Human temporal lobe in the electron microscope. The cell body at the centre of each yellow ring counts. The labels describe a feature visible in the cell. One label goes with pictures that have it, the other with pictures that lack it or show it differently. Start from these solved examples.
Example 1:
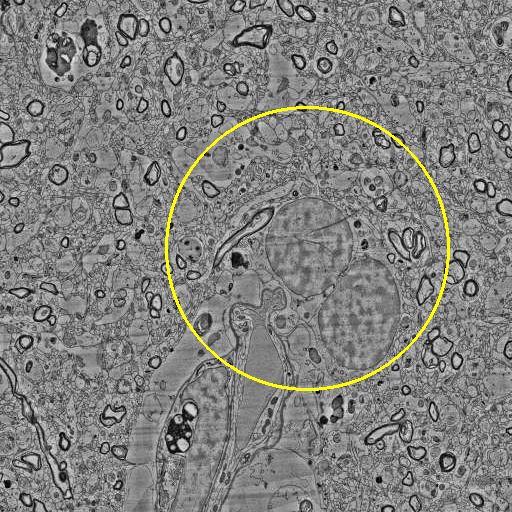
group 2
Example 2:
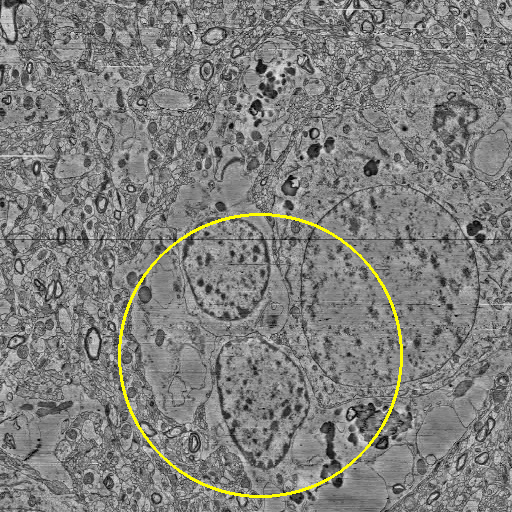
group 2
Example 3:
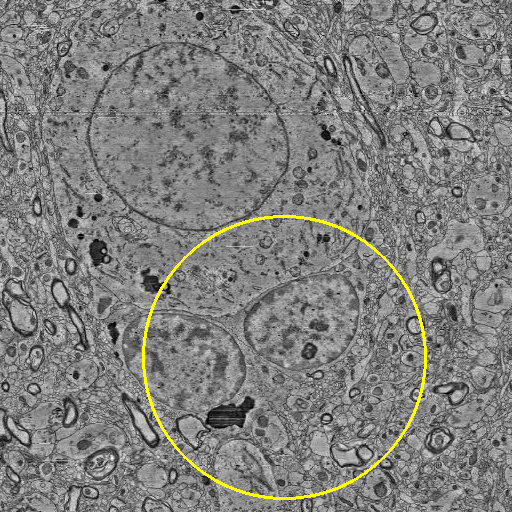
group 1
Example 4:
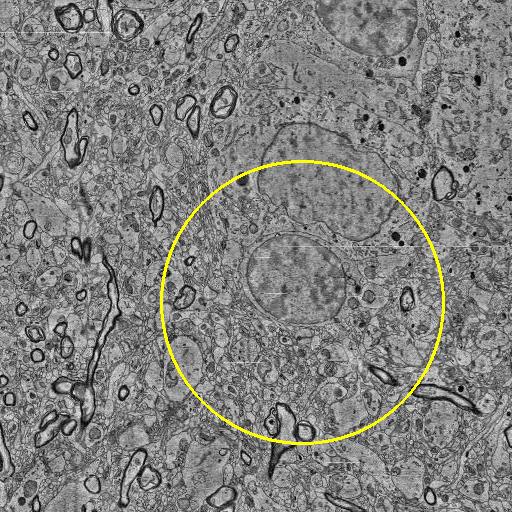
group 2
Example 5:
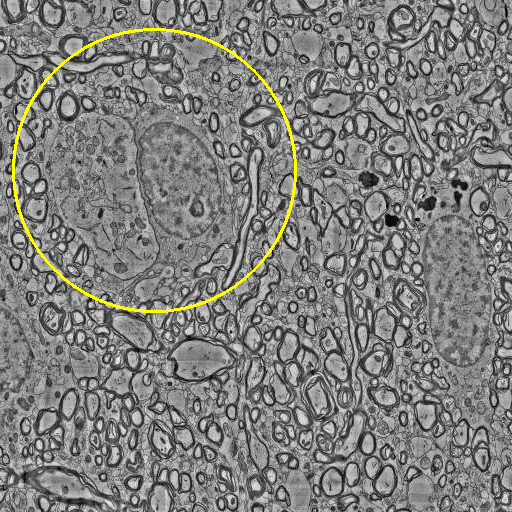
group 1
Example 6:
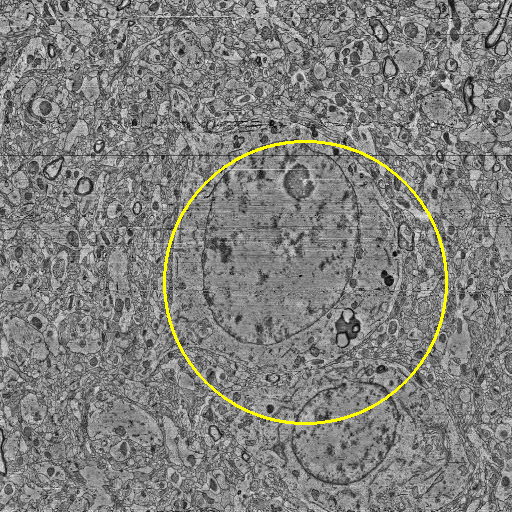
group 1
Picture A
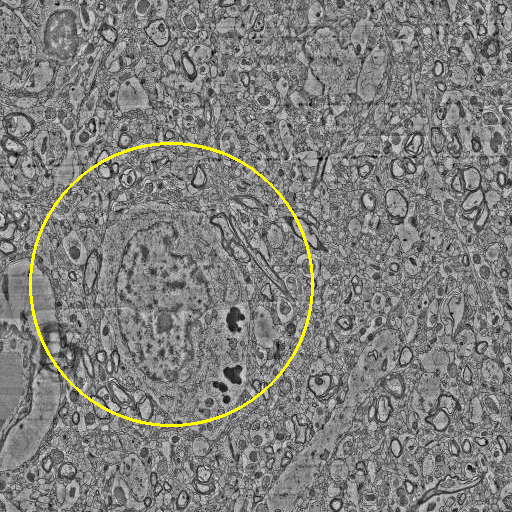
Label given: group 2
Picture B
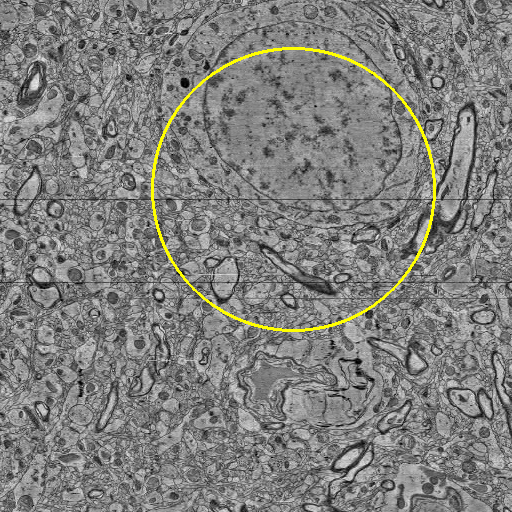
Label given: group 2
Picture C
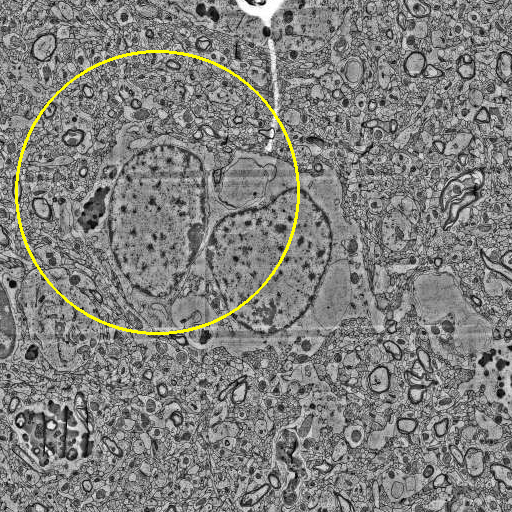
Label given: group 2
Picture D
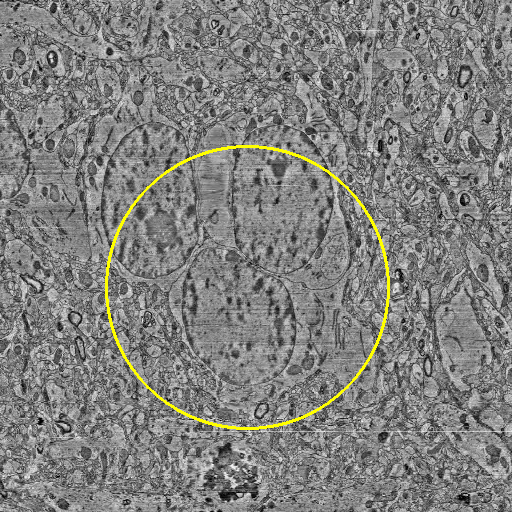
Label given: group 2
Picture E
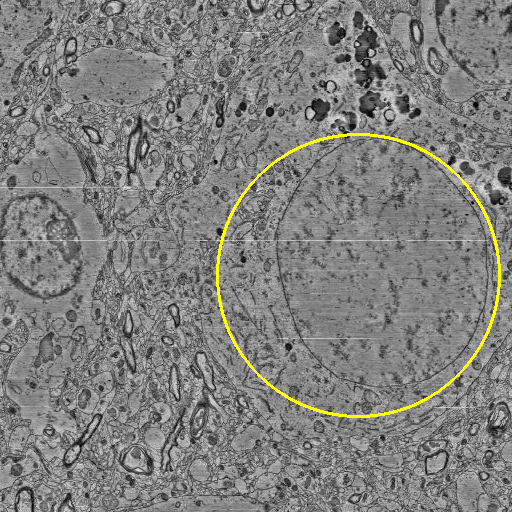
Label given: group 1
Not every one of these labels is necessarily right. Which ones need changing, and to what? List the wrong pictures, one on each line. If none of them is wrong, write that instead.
Wrong: A (group 2); correct: group 1
Wrong: E (group 1); correct: group 2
